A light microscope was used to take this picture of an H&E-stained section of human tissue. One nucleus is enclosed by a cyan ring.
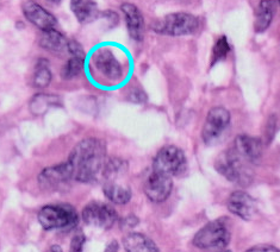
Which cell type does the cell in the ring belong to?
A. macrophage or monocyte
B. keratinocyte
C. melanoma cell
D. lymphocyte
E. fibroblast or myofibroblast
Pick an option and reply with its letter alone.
C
